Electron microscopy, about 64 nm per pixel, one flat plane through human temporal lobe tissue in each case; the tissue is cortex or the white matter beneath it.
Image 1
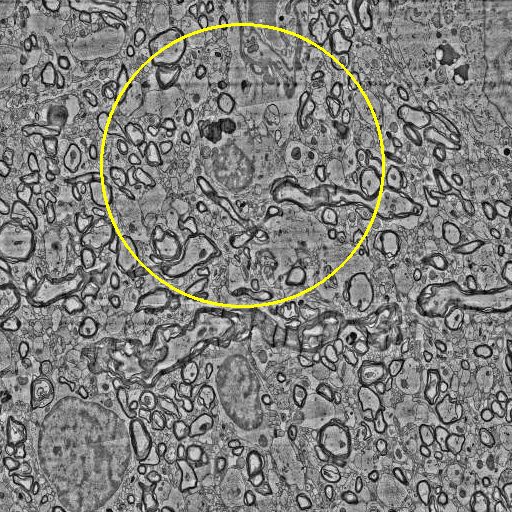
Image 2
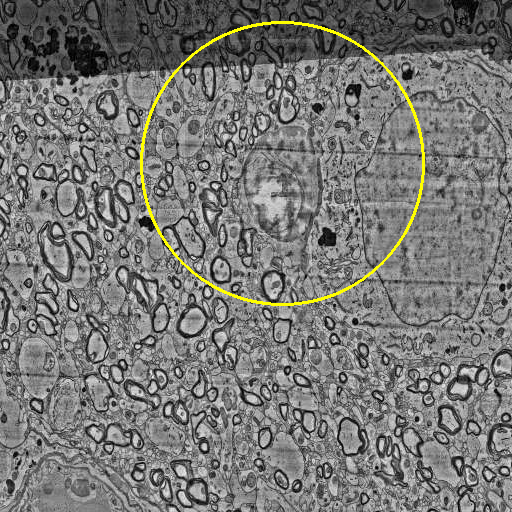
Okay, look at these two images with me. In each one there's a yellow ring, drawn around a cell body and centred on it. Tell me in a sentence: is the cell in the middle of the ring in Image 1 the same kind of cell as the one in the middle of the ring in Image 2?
Yes, they're the same kind of cell.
